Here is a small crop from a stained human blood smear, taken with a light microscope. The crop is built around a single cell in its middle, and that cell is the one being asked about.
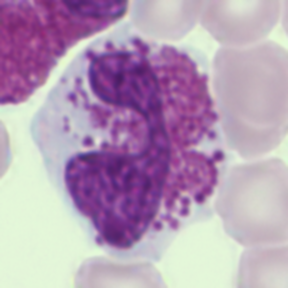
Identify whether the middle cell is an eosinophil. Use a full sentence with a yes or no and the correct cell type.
Yes, centred in the crop is an eosinophil.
